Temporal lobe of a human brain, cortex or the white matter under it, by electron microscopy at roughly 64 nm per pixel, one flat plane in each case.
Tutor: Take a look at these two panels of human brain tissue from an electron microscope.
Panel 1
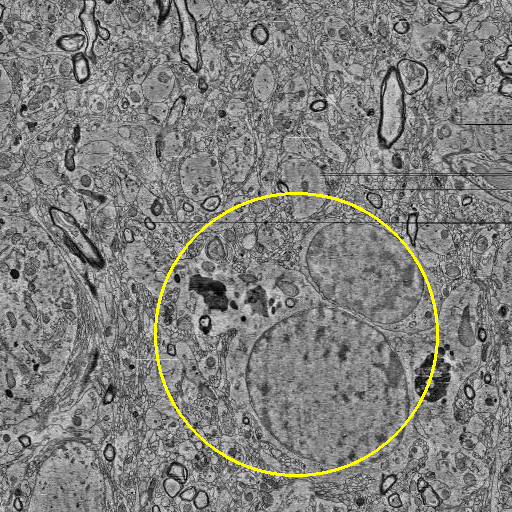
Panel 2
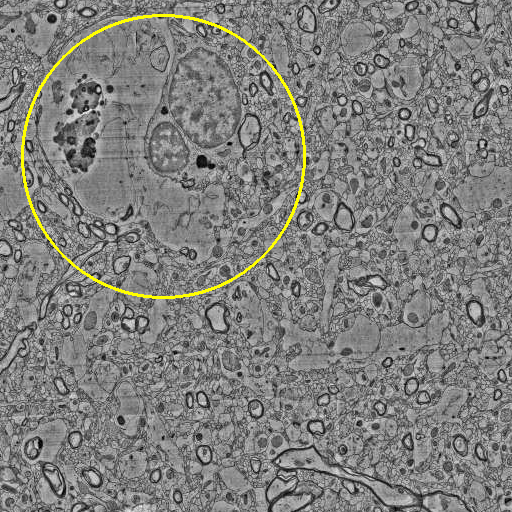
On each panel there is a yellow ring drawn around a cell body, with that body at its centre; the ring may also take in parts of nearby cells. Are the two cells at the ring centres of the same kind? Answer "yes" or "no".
no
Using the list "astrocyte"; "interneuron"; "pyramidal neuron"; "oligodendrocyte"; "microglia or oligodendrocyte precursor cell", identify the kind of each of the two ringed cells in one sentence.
The first is an astrocyte and the second is an oligodendrocyte.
